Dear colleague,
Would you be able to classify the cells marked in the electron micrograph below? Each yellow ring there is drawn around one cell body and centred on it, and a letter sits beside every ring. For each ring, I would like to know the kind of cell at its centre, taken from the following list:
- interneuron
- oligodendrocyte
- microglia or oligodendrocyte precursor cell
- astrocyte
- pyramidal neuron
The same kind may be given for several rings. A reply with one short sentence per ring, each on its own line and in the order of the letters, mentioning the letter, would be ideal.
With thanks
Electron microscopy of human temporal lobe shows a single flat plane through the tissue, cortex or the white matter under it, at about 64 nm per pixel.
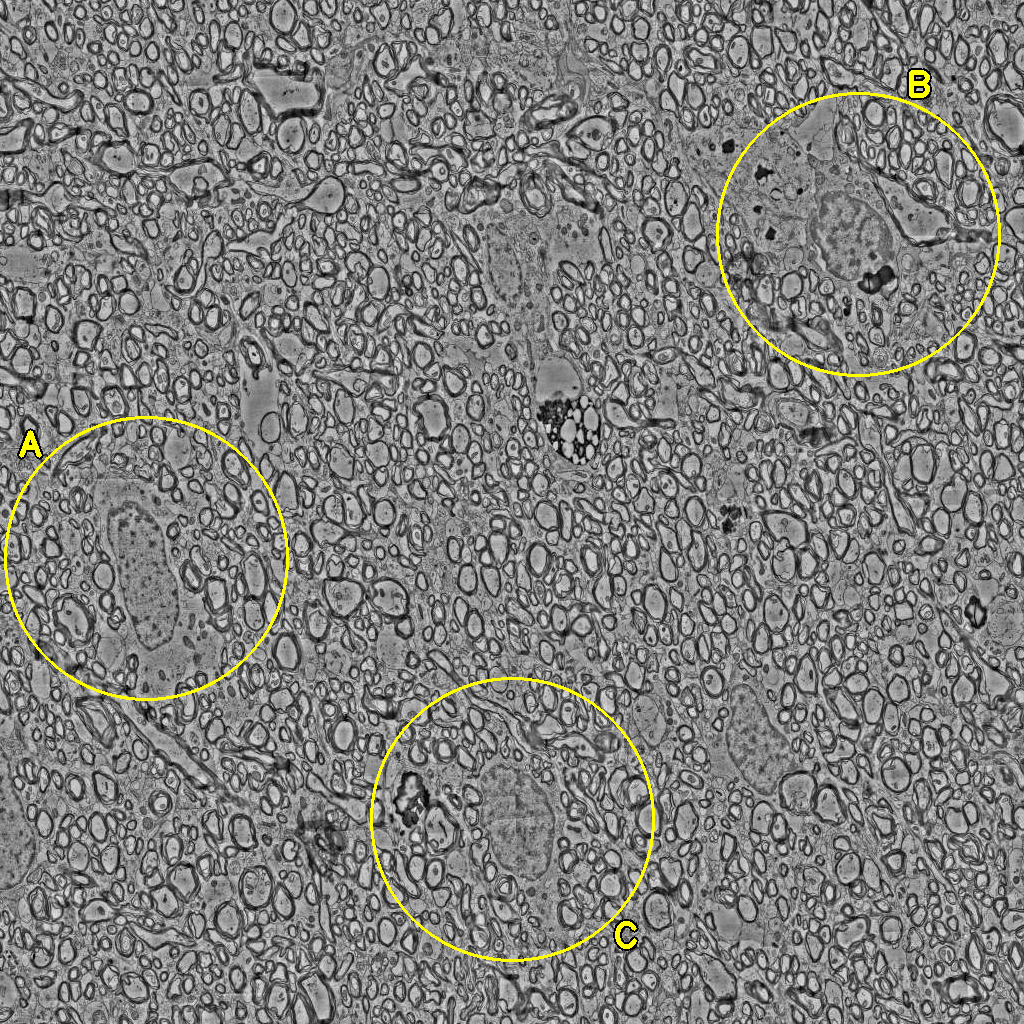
Ring A contains an astrocyte at its centre.
Ring B contains an oligodendrocyte at its centre.
Ring C contains an oligodendrocyte at its centre.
